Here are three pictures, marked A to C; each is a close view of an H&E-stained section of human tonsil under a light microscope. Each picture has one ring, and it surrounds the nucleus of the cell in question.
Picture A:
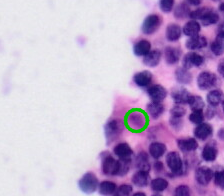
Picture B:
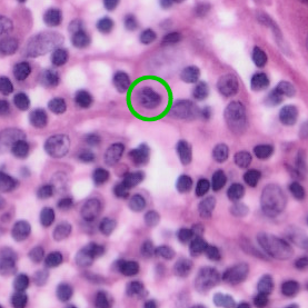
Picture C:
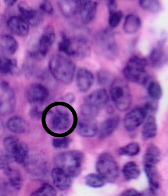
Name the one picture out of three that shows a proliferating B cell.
C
